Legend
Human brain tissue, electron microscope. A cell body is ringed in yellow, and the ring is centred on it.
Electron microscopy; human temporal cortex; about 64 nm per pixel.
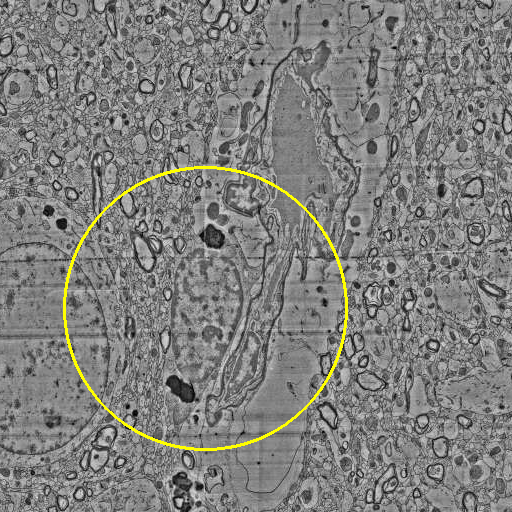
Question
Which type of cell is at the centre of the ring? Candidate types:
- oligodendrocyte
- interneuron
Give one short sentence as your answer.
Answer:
The yellow ring is centred here on an oligodendrocyte.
